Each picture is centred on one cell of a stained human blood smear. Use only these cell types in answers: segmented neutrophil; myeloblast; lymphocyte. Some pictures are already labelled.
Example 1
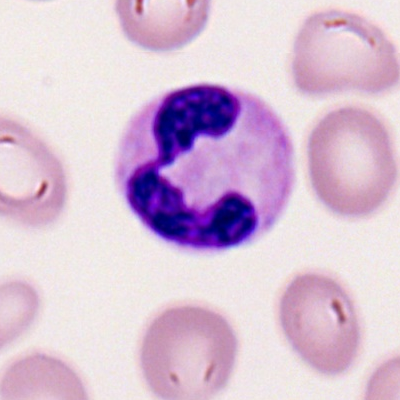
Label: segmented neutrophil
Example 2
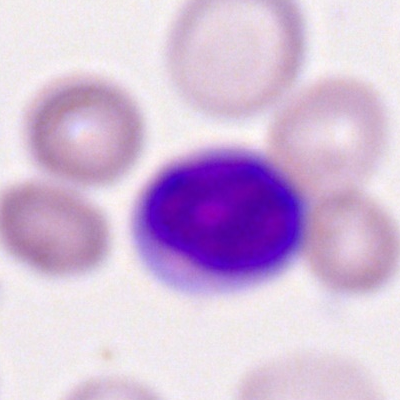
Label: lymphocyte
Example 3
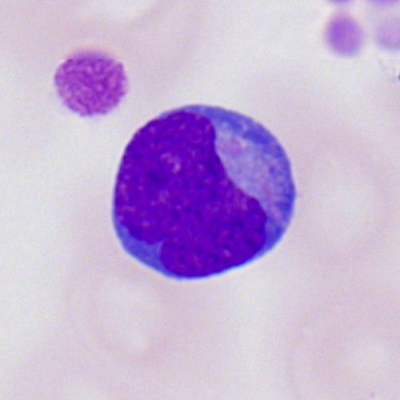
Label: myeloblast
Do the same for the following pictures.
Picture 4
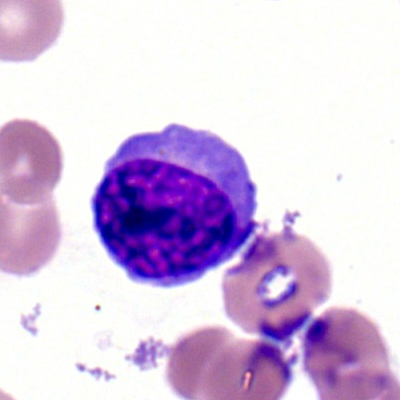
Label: lymphocyte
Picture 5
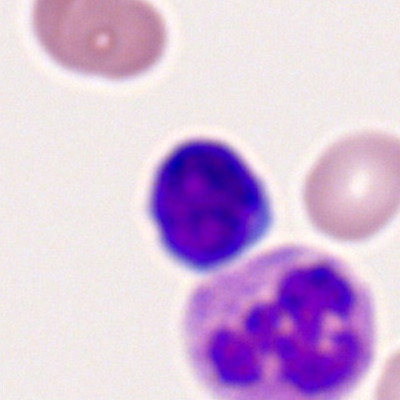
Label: lymphocyte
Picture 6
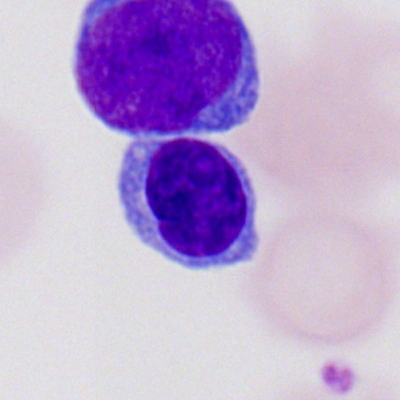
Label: lymphocyte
